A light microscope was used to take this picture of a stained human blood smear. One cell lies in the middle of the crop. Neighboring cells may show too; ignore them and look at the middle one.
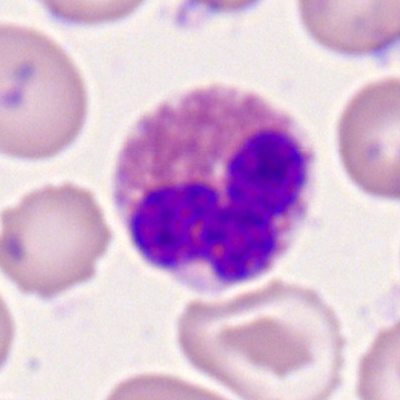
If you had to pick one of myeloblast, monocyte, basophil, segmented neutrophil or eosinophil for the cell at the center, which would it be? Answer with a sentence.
The cell in the exact centre of the crop is an eosinophil.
